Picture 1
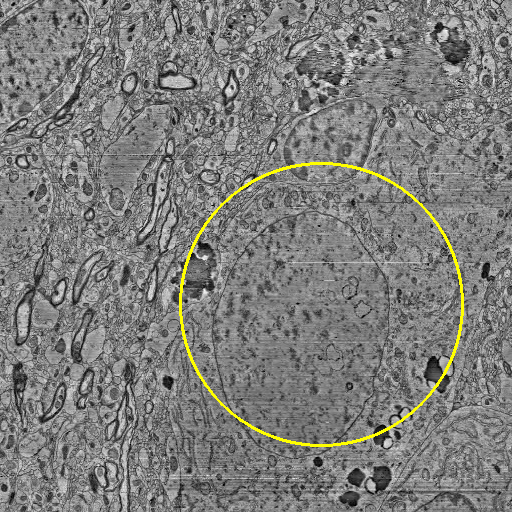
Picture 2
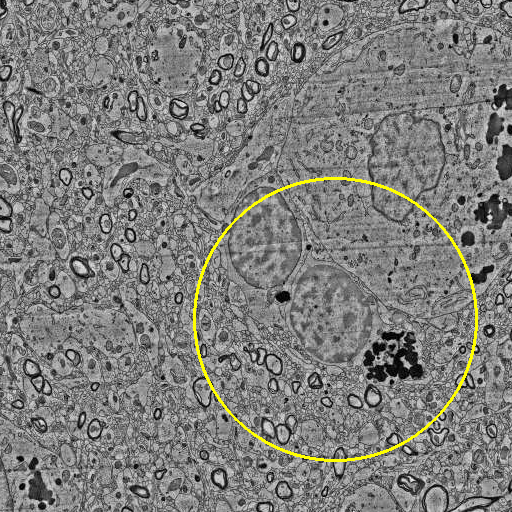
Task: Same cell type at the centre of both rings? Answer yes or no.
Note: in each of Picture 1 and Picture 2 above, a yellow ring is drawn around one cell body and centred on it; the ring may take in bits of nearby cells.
no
